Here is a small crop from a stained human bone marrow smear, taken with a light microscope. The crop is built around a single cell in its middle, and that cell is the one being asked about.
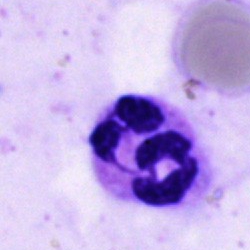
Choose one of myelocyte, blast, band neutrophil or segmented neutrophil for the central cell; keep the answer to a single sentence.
The cell at the central position in this crop is a segmented neutrophil.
